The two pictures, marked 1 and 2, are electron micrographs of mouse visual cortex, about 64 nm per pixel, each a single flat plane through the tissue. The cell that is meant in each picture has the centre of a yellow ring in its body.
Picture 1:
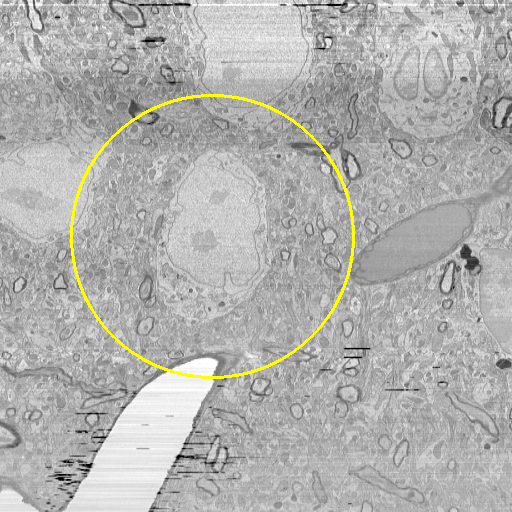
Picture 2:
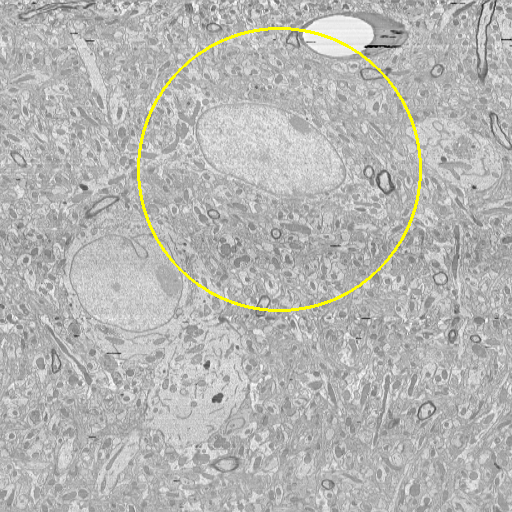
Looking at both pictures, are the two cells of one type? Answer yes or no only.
no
